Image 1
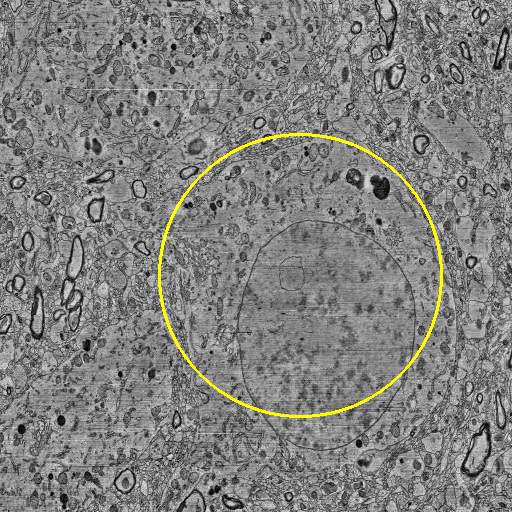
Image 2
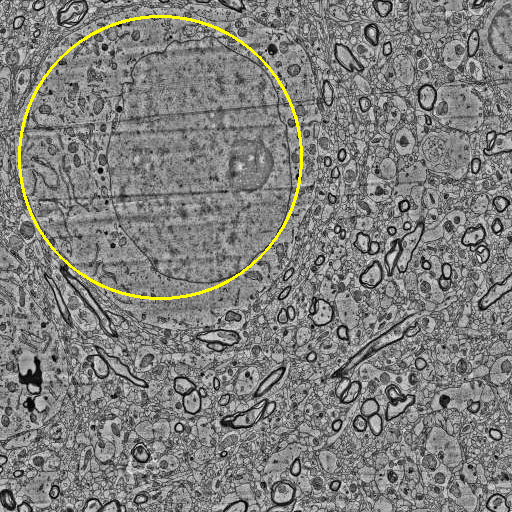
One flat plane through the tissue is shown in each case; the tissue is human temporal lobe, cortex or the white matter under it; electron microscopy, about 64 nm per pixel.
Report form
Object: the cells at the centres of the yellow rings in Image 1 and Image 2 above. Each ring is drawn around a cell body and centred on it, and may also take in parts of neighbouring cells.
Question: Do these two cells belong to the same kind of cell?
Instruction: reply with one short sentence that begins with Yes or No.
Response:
Yes, both belong to the same kind of cell.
